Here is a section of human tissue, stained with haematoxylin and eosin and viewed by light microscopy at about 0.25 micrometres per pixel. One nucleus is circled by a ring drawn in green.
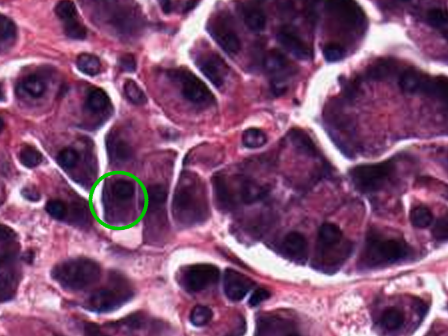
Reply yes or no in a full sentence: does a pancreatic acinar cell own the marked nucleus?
Yes, a pancreatic acinar cell holds the marked nucleus.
